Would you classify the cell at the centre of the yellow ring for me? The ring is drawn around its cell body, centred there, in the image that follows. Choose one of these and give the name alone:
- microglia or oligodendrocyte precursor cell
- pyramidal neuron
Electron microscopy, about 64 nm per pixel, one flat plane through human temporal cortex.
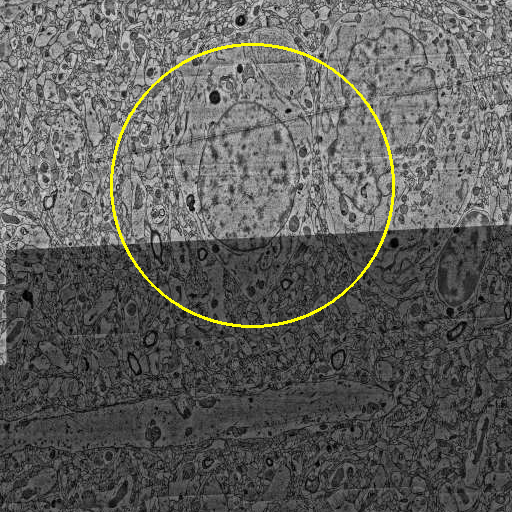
pyramidal neuron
